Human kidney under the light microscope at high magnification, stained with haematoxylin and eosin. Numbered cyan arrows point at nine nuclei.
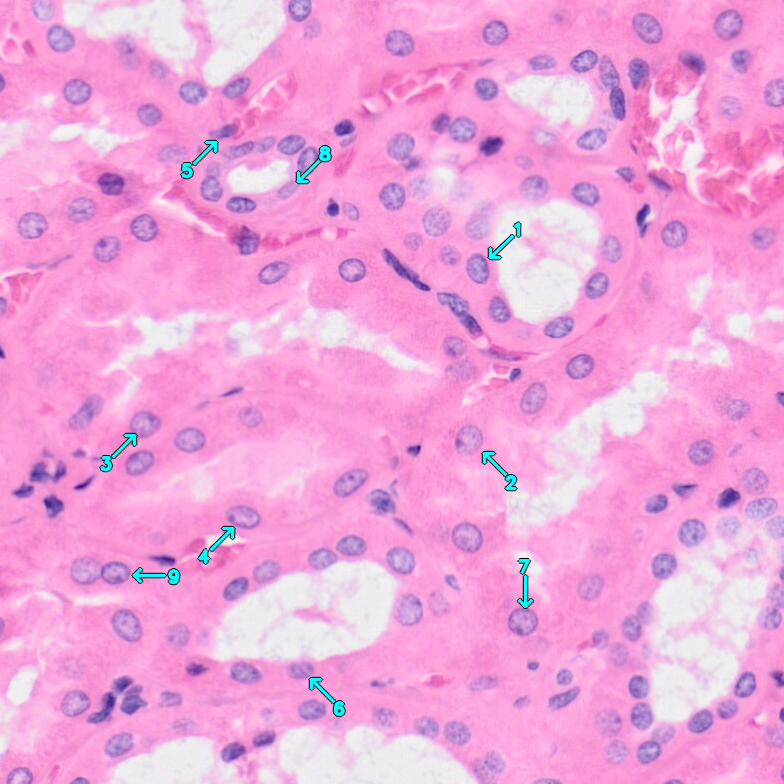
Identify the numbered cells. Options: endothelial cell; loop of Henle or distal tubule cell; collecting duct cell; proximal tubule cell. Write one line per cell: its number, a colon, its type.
1: loop of Henle or distal tubule cell
2: proximal tubule cell
3: proximal tubule cell
4: proximal tubule cell
5: endothelial cell
6: loop of Henle or distal tubule cell
7: proximal tubule cell
8: collecting duct cell
9: proximal tubule cell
